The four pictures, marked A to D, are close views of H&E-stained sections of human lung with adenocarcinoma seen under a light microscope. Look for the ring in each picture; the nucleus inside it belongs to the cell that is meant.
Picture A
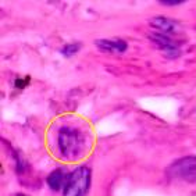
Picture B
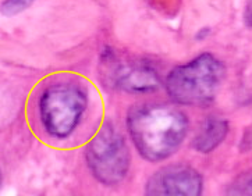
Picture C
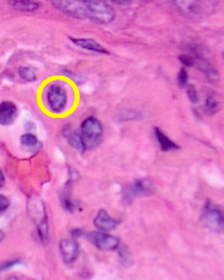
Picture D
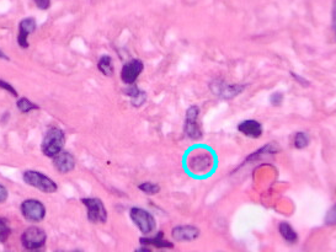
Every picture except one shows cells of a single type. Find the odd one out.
B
